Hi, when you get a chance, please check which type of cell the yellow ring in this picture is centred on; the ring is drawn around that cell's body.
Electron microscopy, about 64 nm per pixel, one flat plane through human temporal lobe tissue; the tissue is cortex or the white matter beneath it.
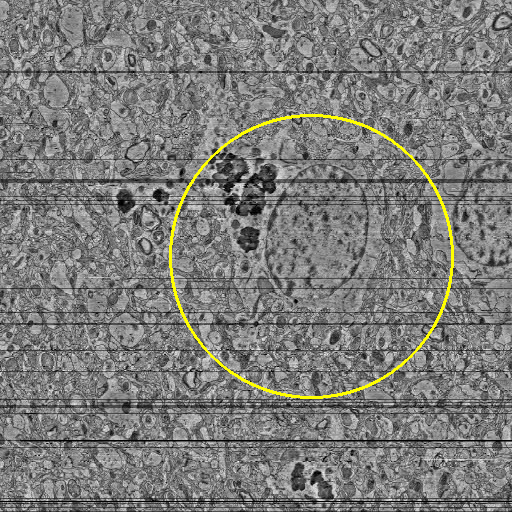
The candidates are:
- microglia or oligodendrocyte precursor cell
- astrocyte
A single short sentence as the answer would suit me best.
The ring is drawn around the body of an astrocyte.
